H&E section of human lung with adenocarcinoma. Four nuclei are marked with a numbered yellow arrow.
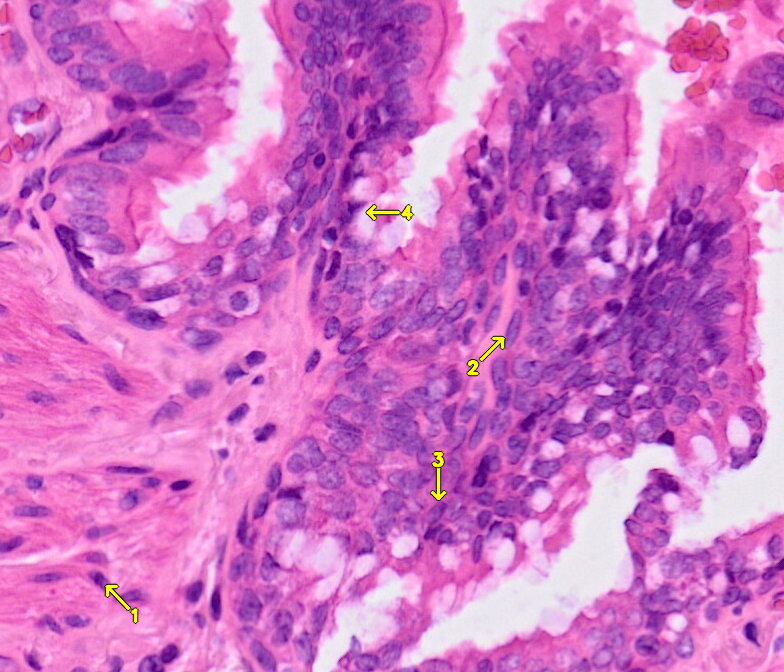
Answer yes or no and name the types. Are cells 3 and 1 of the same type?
No, cell 3 is a ciliated epithelial cell and cell 1 is a smooth muscle cell or pericyte.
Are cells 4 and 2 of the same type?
Yes, both are ciliated epithelial cells.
